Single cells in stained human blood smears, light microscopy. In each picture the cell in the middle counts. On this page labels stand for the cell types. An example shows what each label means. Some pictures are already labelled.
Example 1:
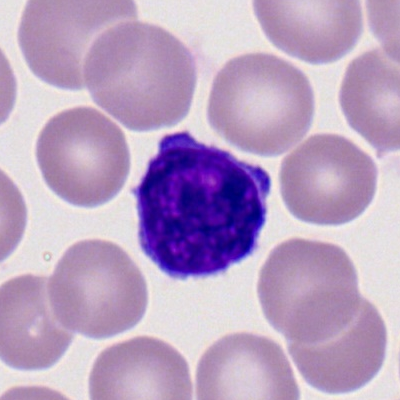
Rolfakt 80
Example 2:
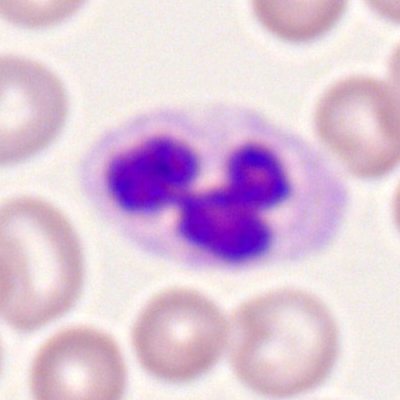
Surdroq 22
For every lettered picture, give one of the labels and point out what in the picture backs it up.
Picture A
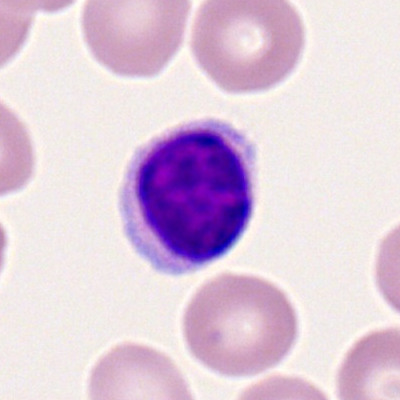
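Rolfakt 80: The cytoplasm forms only a thin rim around the nucleus.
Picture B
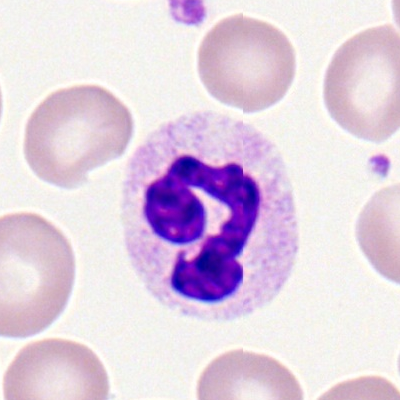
Surdroq 22: The cytoplasm is plentiful and pale pinkish-lilac.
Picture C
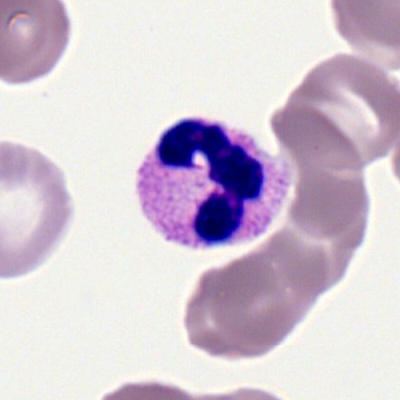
Surdroq 22: The nucleus is divided into three lobes.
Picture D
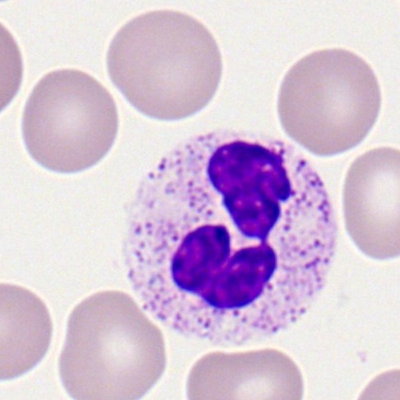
Surdroq 22: The nucleus is divided into three lobes.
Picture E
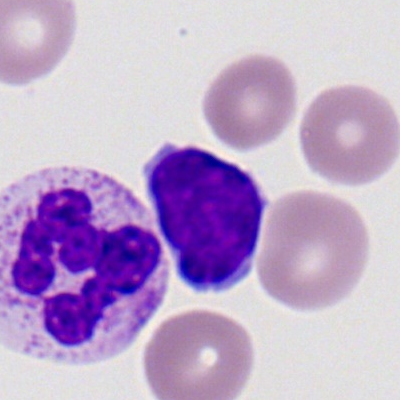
Rolfakt 80: The nucleus is a single unlobed mass.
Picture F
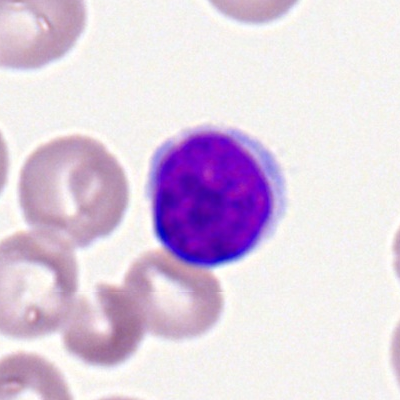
Rolfakt 80: The cytoplasm forms only a thin rim around the nucleus.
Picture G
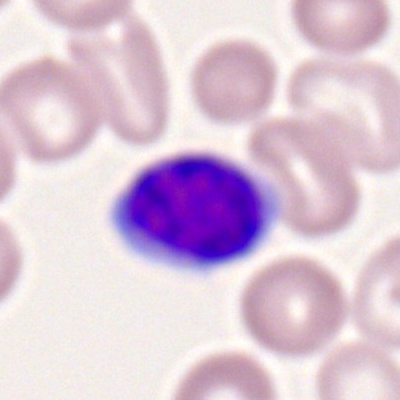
Rolfakt 80: The cytoplasm forms only a thin rim around the nucleus.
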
